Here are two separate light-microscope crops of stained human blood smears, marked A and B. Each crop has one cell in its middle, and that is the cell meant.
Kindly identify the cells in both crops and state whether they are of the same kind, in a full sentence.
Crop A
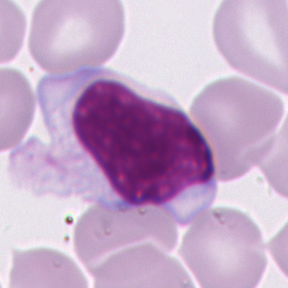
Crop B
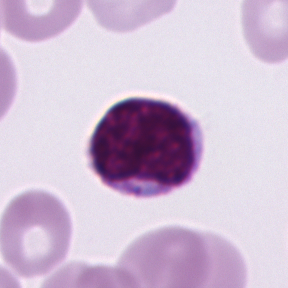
Yes, both crops show large granular lymphocytes as their central cells.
